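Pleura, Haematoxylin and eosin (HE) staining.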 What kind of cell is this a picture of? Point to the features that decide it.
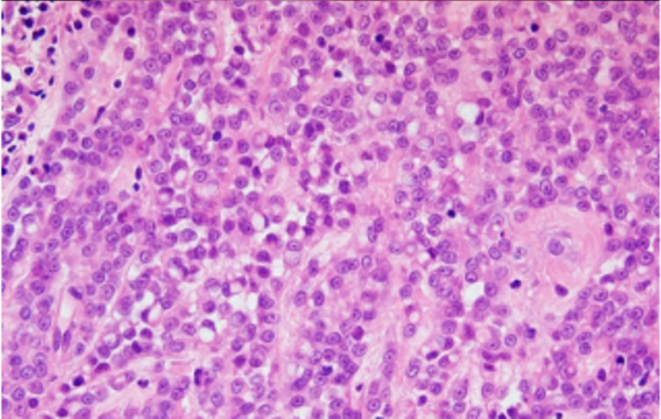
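Densely packed polygonal cells with pink cytoplasm. Round nuclei with visible nucleoli. Cells arranged in sheets and cords between thin pink stromal strands.
Epithelioid tumour cells.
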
